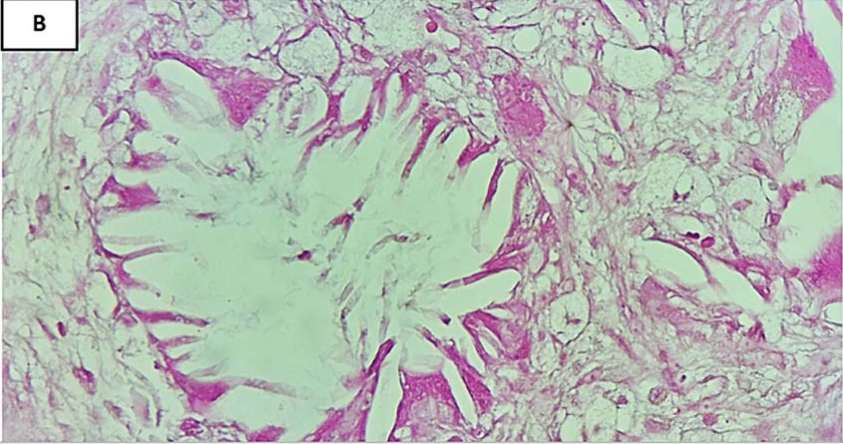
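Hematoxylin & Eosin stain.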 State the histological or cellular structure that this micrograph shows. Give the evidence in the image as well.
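Large pale, almost colourless deposits with a radiating, fan-like arrangement of elongated blade-shaped spaces. The pale deposits are rimmed by pink-staining tissue. That points to this answer: Calcium oxalate crystals.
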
